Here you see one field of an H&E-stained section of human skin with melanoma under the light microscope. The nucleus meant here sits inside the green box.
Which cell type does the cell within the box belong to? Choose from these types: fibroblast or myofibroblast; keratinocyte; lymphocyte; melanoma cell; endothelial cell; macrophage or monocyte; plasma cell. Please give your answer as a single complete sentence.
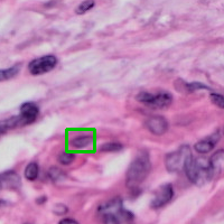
Recorded by type, the cell within the box is an endothelial cell.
